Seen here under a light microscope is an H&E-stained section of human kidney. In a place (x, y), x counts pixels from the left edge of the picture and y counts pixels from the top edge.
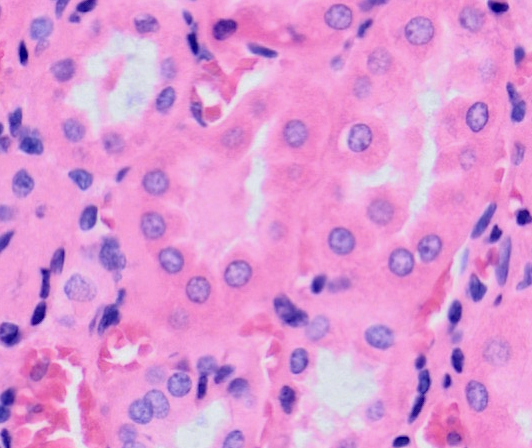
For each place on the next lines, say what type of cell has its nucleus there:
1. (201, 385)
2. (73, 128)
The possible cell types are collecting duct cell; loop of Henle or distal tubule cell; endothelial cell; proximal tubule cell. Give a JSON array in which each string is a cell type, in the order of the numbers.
["collecting duct cell", "loop of Henle or distal tubule cell"]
